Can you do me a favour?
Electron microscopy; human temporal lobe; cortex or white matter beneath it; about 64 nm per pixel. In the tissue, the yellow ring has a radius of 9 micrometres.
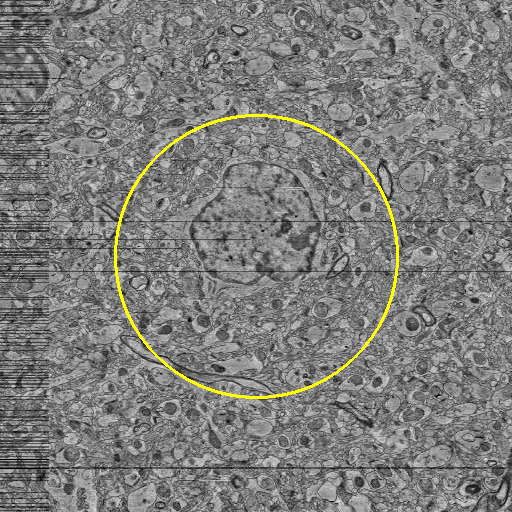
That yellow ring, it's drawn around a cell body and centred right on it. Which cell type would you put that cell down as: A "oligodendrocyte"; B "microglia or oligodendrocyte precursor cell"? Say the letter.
B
